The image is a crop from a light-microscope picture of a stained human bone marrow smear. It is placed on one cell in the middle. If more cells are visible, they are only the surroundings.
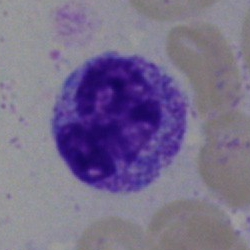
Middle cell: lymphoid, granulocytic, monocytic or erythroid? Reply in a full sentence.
Included in the granulocytic lineage is the cell at the middle of the crop.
